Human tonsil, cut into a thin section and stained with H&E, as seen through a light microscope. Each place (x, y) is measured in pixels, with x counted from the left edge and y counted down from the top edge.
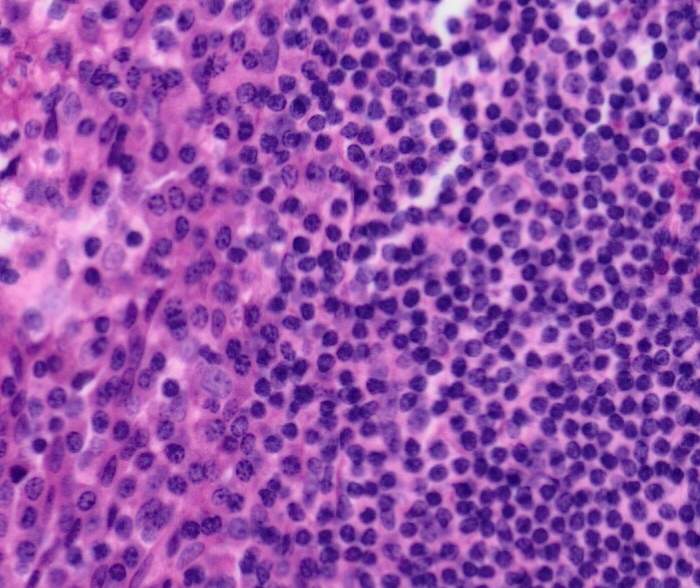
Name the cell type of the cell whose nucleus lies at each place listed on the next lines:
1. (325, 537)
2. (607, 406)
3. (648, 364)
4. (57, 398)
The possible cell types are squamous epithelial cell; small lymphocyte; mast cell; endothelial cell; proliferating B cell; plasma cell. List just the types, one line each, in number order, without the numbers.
small lymphocyte
small lymphocyte
small lymphocyte
plasma cell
